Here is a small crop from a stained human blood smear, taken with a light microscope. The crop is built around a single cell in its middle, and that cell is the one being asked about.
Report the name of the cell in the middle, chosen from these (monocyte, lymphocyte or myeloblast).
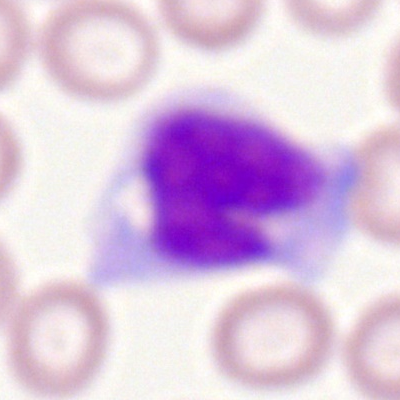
monocyte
